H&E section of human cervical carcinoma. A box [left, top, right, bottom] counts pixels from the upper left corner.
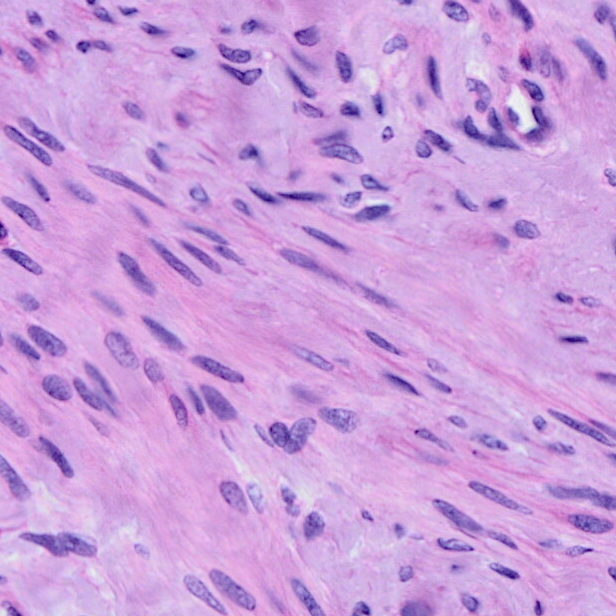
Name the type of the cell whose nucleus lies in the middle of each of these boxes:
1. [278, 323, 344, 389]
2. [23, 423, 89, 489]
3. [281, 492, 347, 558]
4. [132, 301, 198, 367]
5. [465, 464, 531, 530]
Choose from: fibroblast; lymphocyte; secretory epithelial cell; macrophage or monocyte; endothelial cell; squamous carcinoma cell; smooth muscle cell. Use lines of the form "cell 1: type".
cell 1: smooth muscle cell
cell 2: fibroblast
cell 3: fibroblast
cell 4: fibroblast
cell 5: smooth muscle cell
